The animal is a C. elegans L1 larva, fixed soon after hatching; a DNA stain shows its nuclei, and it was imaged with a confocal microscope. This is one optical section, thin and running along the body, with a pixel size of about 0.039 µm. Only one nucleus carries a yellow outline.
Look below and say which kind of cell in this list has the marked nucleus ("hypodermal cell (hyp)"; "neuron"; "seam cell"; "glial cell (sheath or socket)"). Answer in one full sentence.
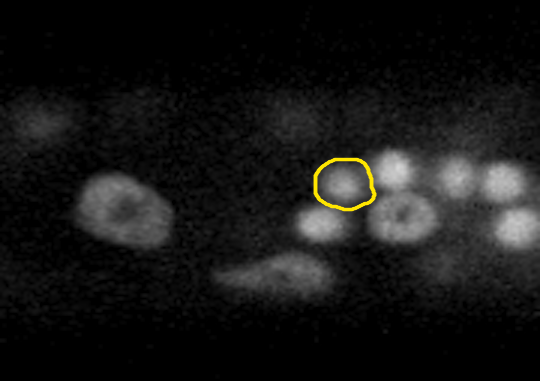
It is the nucleus of a neuron.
